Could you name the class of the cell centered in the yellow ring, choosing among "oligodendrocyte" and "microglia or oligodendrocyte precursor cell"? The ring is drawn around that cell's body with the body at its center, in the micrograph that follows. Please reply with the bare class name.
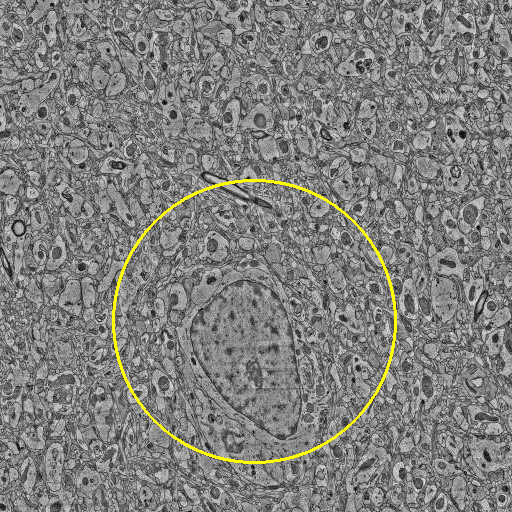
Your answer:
microglia or oligodendrocyte precursor cell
